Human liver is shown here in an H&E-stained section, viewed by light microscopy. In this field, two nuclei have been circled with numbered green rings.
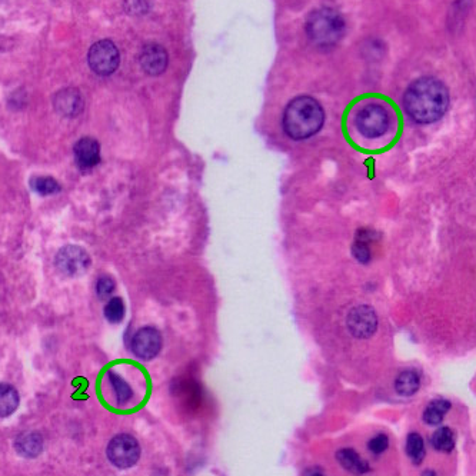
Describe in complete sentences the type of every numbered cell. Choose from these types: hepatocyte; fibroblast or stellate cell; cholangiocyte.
Cell 1 is a hepatocyte. Cell 2 is a fibroblast or stellate cell.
